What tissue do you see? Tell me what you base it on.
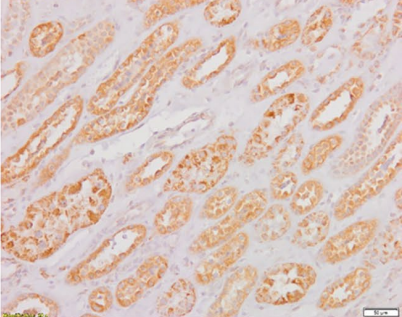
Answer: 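Kidney. Tubules cut longitudinally and obliquely, lined by cuboidal epithelium. Brown-stained tubular cells around open lumens, pale interstitium between.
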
